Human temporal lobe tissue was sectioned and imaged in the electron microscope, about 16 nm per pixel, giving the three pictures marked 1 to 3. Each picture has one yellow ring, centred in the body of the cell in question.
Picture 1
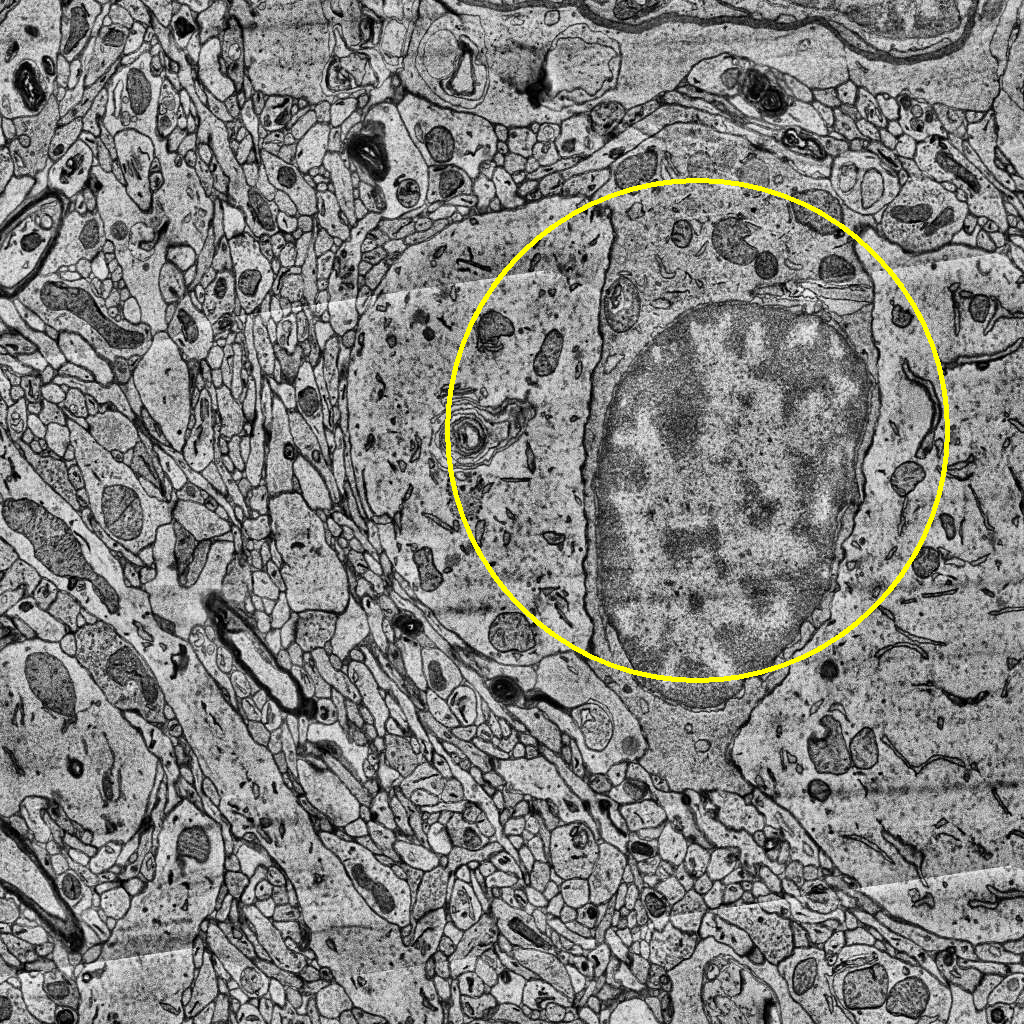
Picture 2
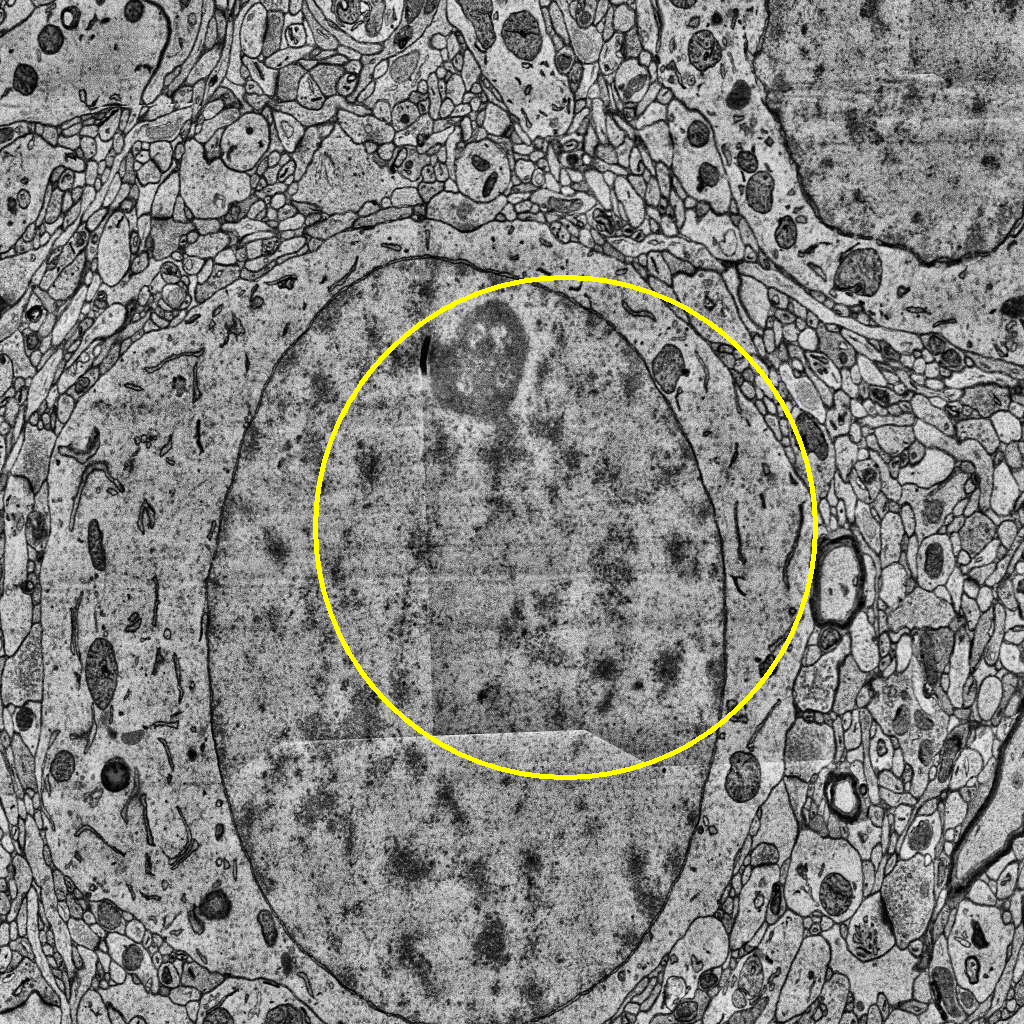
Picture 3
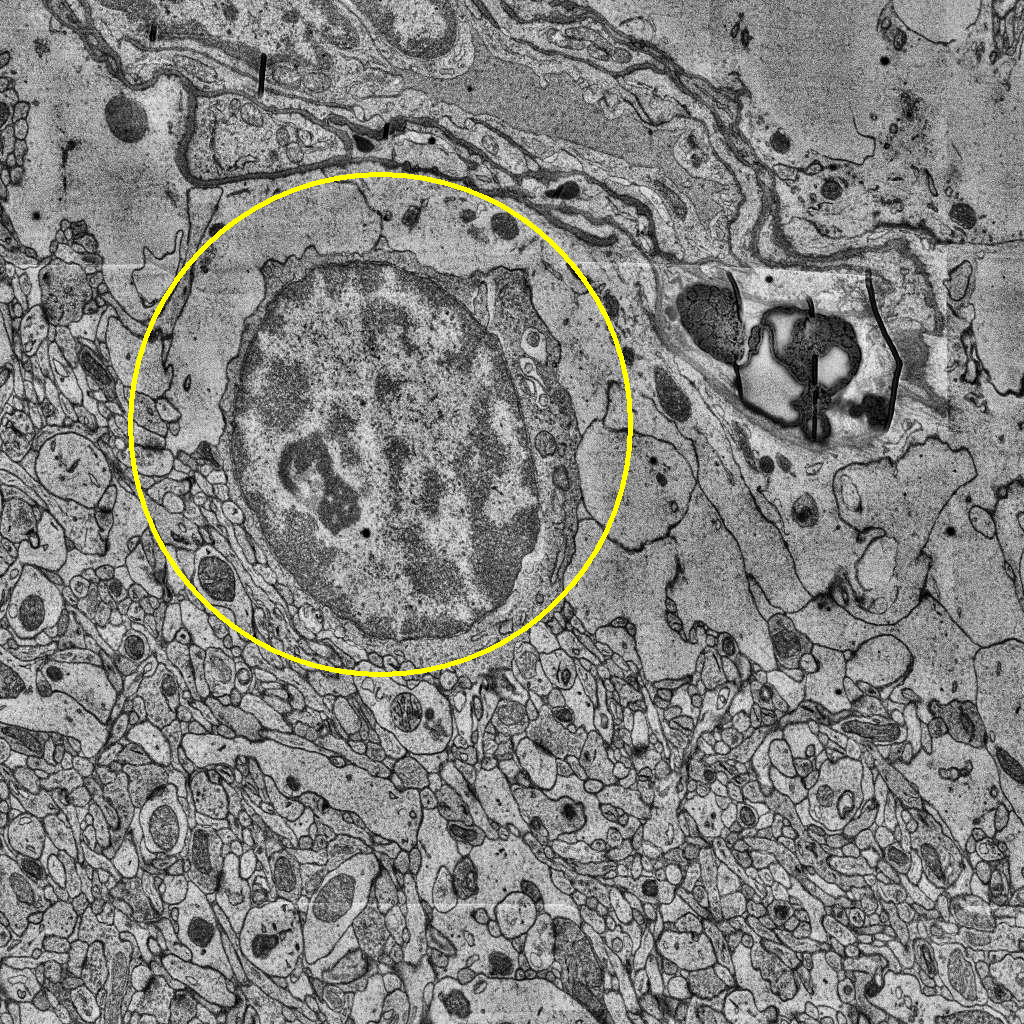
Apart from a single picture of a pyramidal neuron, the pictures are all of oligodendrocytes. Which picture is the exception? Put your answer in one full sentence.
The cell in picture 2 is the pyramidal neuron.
